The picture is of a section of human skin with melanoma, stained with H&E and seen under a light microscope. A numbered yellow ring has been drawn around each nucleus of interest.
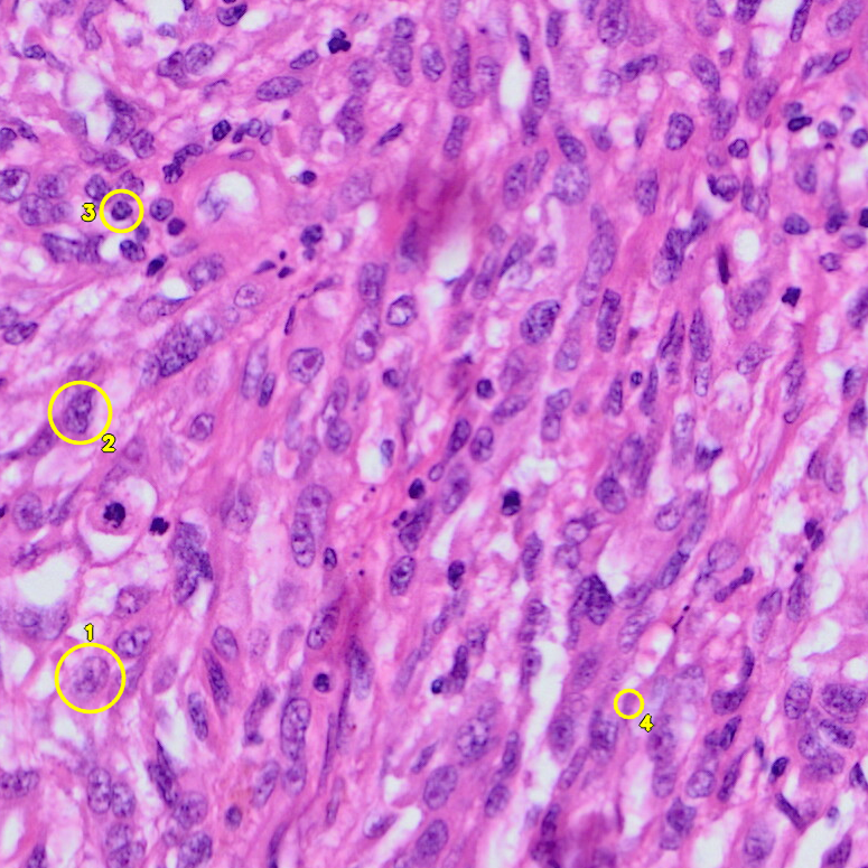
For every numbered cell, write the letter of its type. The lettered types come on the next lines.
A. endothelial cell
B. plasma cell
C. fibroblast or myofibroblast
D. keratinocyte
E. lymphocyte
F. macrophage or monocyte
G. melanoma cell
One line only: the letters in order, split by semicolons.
G; G; E; G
